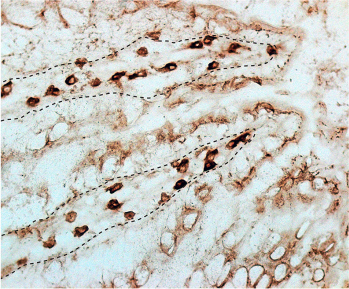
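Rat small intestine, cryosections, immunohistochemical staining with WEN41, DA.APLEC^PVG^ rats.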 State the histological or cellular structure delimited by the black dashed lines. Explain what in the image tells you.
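Dashed lines run along the inner edge of each finger-like projection. Outside the lines lies a layer of pale columnar cells with clear vacuoles. Inside the lines lies a narrow core holding scattered brown-stained rounded cells. The answer: Boundary between epithelium and the lamina propria.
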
